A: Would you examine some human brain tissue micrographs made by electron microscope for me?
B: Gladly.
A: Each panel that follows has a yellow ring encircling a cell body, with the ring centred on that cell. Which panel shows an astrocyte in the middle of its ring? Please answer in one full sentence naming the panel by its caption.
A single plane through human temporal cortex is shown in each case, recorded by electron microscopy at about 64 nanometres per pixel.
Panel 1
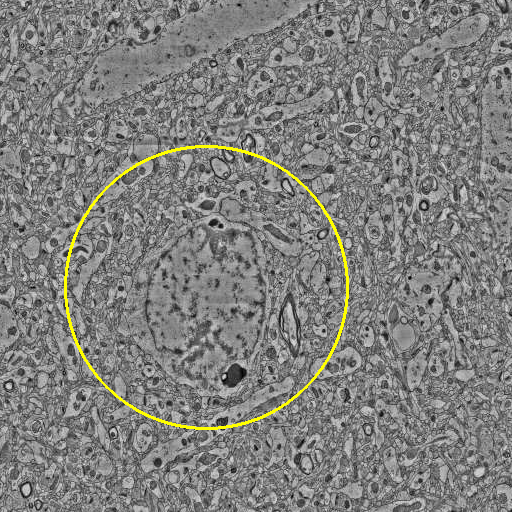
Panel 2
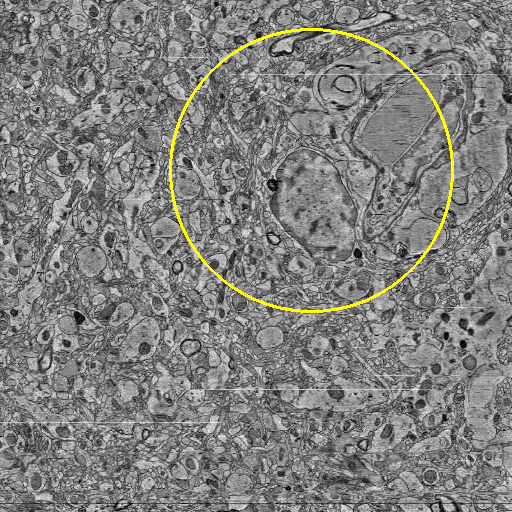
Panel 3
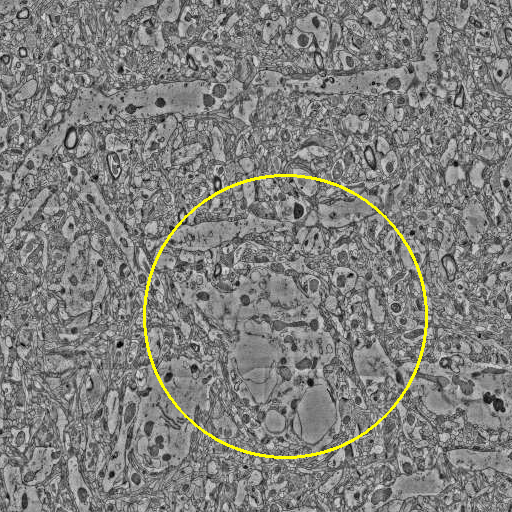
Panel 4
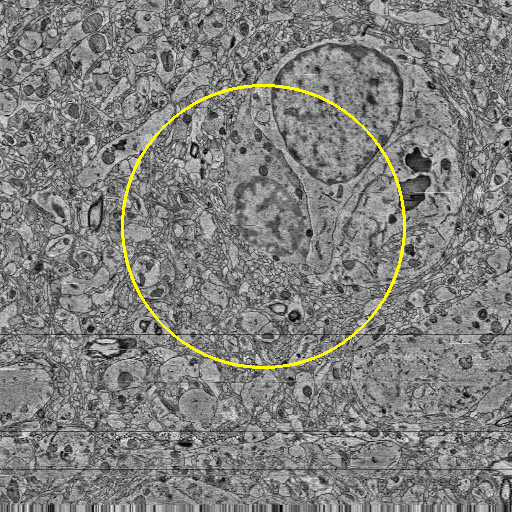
Panel 3 is where the ring sits centred on the requested cell.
